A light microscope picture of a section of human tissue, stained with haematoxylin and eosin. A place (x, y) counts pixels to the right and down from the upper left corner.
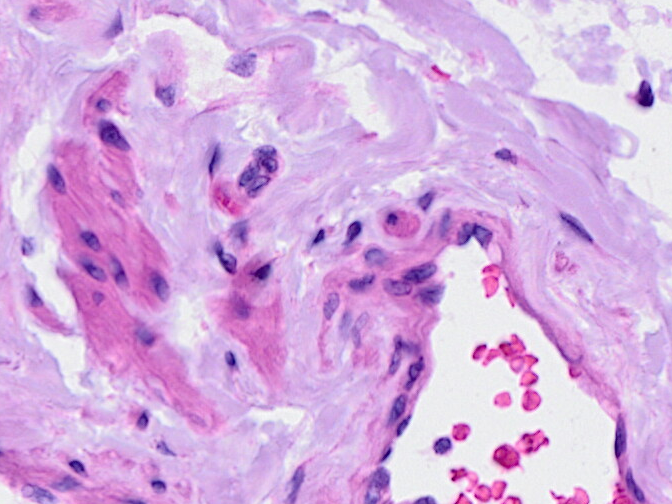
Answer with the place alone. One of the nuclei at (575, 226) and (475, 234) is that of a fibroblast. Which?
(575, 226)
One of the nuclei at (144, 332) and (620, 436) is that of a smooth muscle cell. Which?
(144, 332)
